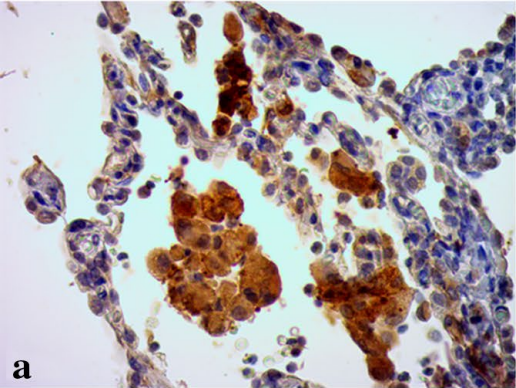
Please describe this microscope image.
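Lung tissue with alveoli and macrophages in the air spaces. Some cells within the alveolar walls show lighter brown cytoplasm, while the remaining wall cells carry only the blue counterstain. A larger vessel or airway wall with denser blue nuclei borders the field on the right.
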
